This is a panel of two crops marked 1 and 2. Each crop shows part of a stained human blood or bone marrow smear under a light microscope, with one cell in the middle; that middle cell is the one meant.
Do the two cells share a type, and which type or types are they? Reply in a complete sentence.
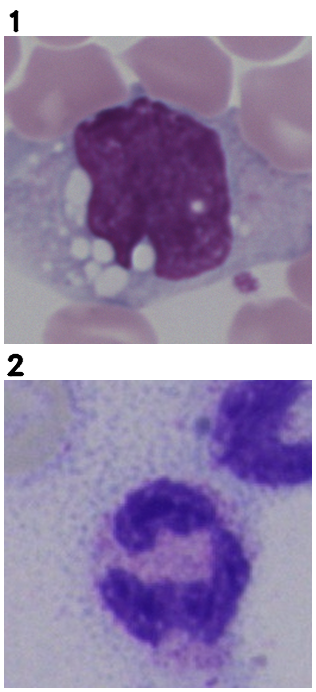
No, crop 1 offers a monocyte, while crop 2 offers a segmented neutrophil.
